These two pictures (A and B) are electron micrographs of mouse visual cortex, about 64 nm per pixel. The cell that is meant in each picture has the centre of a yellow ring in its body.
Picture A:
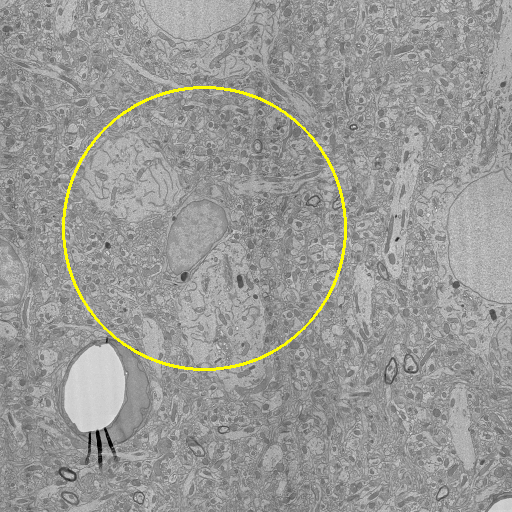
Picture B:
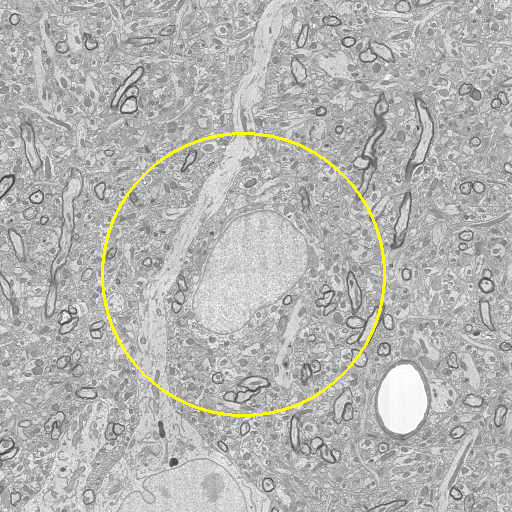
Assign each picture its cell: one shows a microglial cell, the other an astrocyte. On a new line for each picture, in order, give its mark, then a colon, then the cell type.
A: microglial cell
B: astrocyte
